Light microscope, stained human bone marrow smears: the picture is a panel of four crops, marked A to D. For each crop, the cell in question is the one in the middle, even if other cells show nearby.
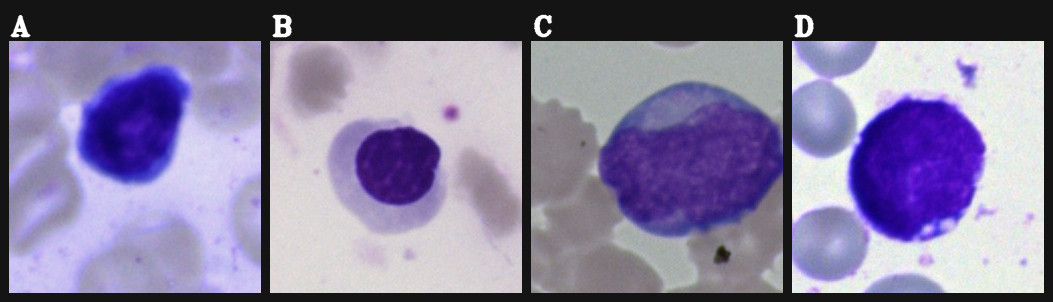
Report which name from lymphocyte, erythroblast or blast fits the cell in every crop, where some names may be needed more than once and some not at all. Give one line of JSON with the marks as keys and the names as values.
{"A": "lymphocyte", "B": "erythroblast", "C": "blast", "D": "blast"}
